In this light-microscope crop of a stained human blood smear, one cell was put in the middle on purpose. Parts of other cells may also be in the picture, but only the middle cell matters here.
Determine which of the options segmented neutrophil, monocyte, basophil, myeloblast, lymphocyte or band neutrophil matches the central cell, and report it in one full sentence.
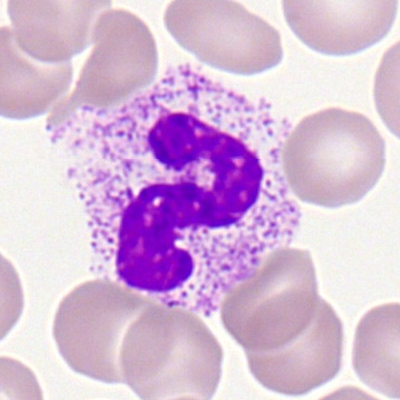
The cell at the centre of the field is a band neutrophil.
